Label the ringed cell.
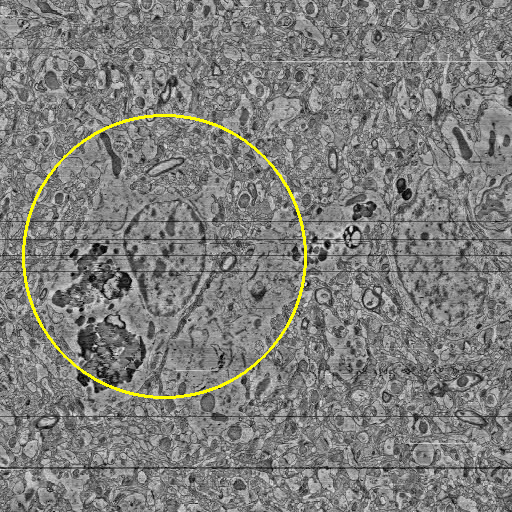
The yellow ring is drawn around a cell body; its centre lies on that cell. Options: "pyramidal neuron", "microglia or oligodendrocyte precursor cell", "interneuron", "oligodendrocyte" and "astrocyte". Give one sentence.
The ringed cell is an astrocyte.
